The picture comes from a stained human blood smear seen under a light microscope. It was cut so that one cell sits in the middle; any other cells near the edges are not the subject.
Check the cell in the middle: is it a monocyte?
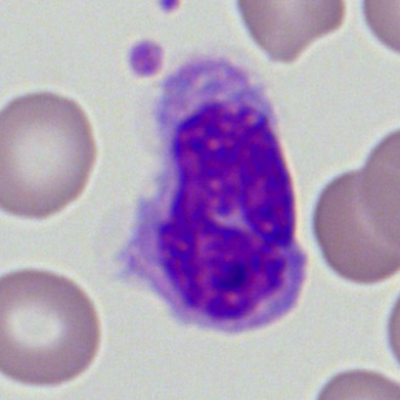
yes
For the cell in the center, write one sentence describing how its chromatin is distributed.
Its chromatin is clumped in a coarse pattern.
